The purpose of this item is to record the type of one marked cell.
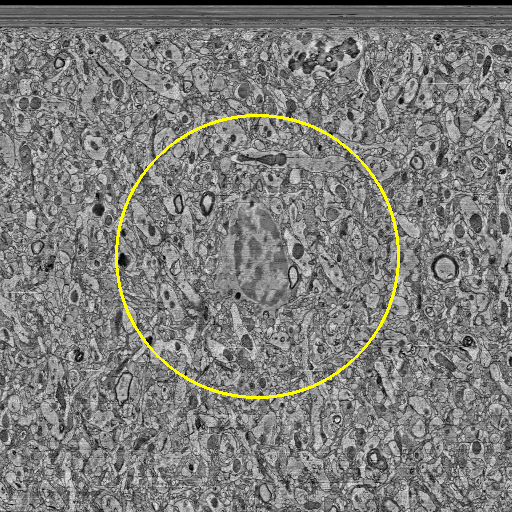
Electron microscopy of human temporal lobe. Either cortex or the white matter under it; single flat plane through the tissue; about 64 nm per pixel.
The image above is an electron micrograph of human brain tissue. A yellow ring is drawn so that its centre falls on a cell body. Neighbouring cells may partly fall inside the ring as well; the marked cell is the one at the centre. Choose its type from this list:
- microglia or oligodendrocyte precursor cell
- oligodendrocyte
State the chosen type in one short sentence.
What the ring marks here is an oligodendrocyte.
